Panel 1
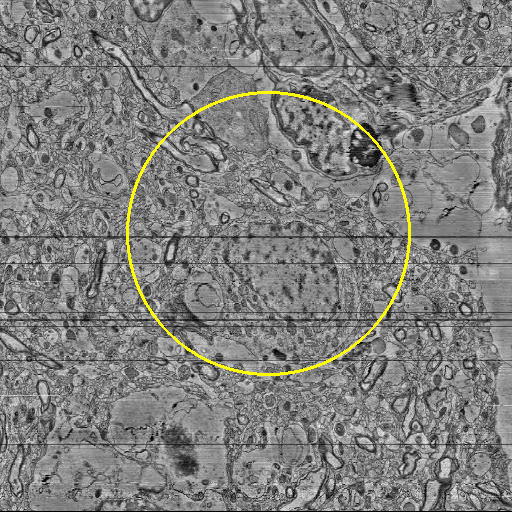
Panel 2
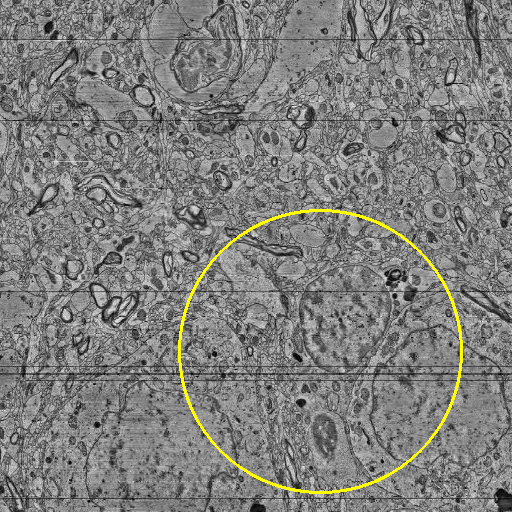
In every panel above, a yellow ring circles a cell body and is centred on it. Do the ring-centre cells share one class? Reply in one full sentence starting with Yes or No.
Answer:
No, the two cells at the ring centres in the panels belong to two classes.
